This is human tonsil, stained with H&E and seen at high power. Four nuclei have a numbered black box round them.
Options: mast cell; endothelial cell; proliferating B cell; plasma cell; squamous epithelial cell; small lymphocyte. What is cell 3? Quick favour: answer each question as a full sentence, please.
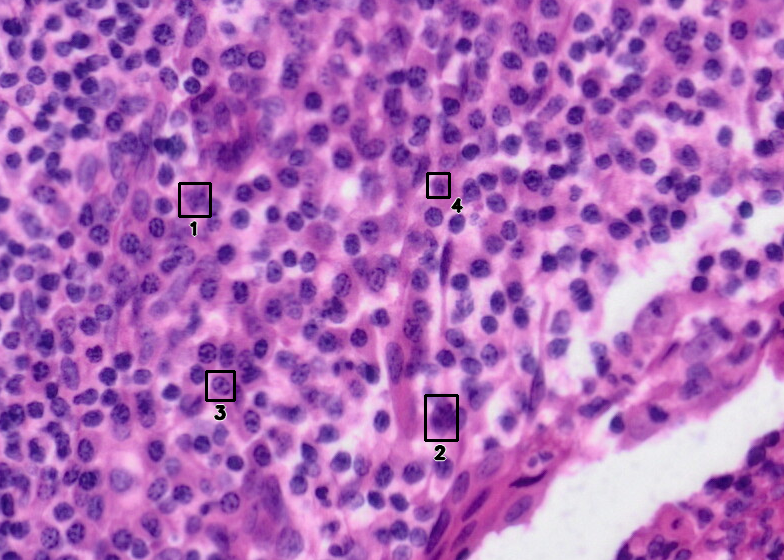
The marked cell bearing number 3 is a plasma cell.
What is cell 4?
Identified by the number 4, the cell is a plasma cell.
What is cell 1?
Of the numbered cells, the one labelled 1 is a squamous epithelial cell.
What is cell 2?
Identified by the number 2, the cell is a squamous epithelial cell.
